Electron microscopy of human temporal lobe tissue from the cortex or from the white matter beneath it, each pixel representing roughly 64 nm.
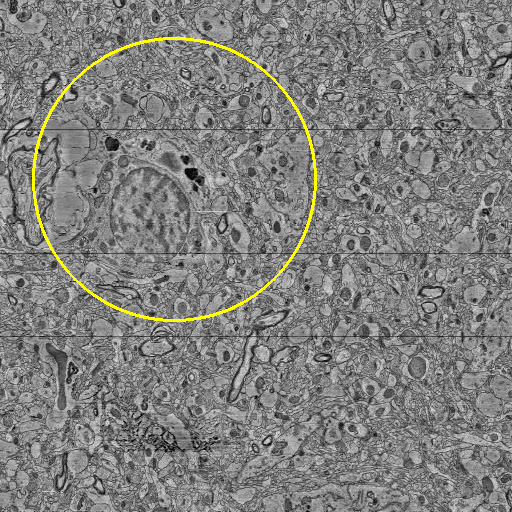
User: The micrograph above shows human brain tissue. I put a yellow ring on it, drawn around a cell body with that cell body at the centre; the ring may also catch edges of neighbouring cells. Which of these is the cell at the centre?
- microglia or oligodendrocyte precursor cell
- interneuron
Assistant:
microglia or oligodendrocyte precursor cell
